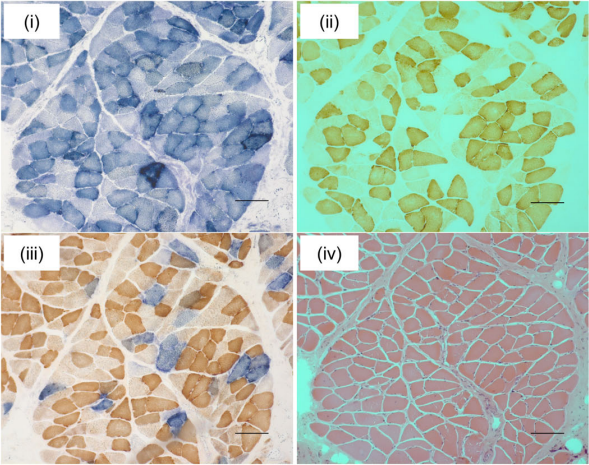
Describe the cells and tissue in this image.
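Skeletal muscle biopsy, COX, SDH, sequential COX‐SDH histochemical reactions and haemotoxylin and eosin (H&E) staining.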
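In the brown-stained image a scattered subset of fibres is pale or unstained, and in the brown-and-blue image these fibres stand out blue among brown fibres. The blue-stained image shows a mosaic of lighter and darker fibres, and the pink and purple image shows fibres with nuclei at their periphery.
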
